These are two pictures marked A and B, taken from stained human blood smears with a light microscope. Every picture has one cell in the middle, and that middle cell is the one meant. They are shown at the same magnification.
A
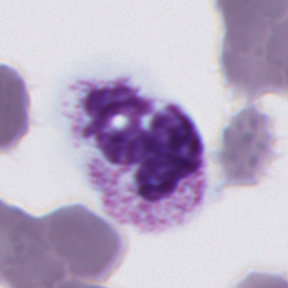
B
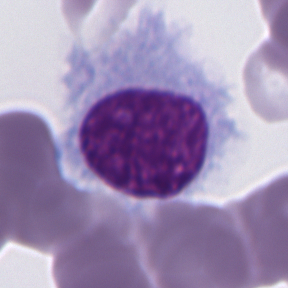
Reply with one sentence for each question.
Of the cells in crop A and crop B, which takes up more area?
It is the cell in crop B, about 1.5 times as large in area as the cell in crop A.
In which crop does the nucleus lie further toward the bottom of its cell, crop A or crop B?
It is the nucleus in crop B that lies further toward the bottom of its cell.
